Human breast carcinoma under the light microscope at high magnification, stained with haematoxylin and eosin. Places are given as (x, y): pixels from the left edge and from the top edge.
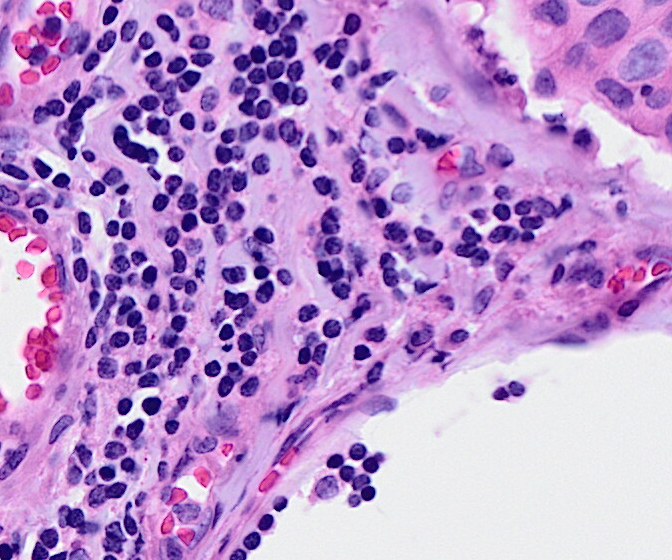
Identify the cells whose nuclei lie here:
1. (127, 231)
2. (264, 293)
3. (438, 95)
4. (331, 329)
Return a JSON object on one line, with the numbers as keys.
{"1": "lymphocyte", "2": "lymphocyte", "3": "mast cell", "4": "lymphocyte"}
